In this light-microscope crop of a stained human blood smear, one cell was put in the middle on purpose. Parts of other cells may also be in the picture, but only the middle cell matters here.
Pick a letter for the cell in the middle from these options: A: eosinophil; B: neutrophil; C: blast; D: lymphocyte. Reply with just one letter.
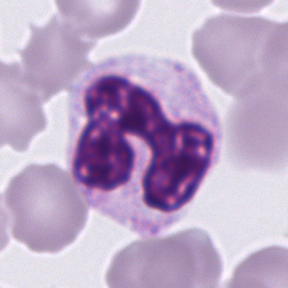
B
